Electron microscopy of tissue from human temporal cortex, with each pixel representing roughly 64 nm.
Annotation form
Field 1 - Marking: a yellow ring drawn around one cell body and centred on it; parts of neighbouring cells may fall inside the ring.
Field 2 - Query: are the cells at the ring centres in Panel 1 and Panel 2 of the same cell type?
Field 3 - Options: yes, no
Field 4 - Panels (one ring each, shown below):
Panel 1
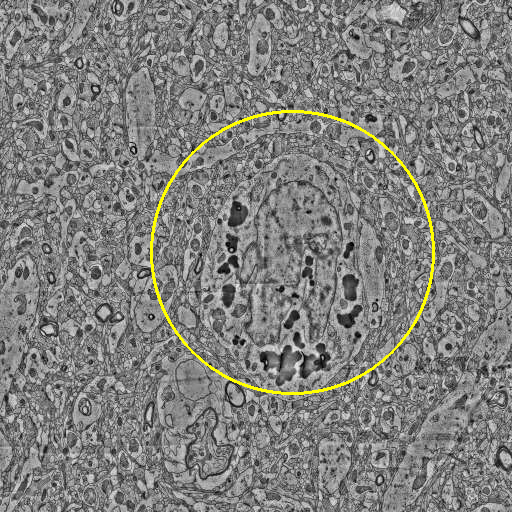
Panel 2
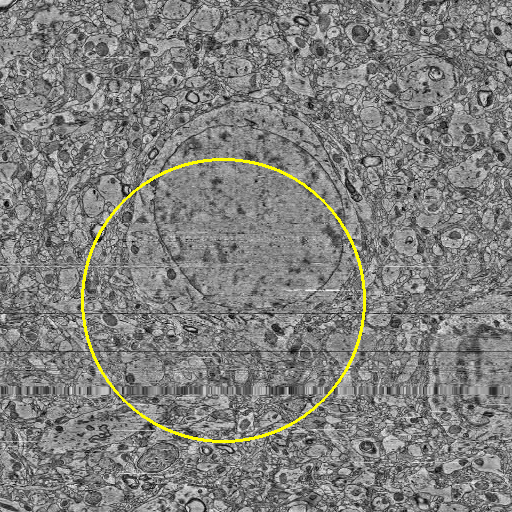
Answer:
no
